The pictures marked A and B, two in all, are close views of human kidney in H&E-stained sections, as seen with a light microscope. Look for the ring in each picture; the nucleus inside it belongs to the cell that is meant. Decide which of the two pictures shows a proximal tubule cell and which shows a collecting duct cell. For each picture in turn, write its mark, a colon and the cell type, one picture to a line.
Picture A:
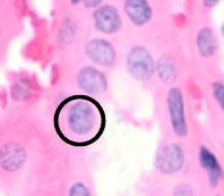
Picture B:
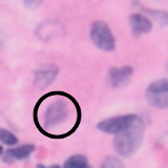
A: collecting duct cell
B: proximal tubule cell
